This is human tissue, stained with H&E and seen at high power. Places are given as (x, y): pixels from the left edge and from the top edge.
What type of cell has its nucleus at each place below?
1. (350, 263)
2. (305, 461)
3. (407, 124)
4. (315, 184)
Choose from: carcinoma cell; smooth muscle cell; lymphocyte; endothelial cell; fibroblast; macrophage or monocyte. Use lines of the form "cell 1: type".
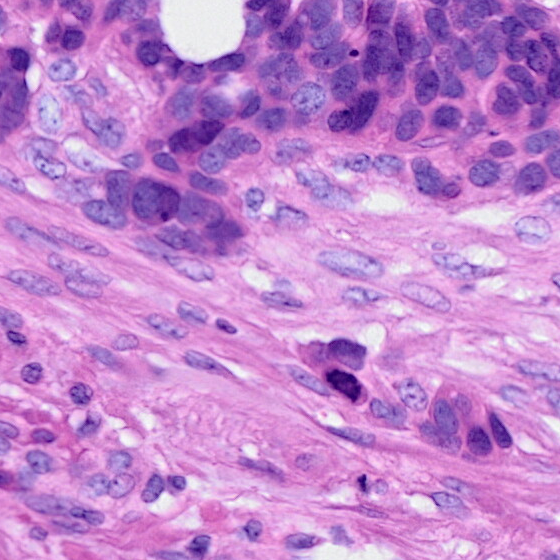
cell 1: fibroblast
cell 2: fibroblast
cell 3: carcinoma cell
cell 4: fibroblast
